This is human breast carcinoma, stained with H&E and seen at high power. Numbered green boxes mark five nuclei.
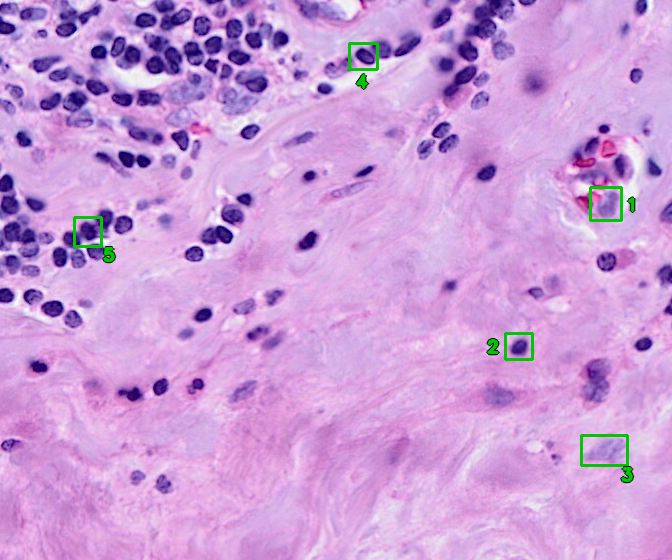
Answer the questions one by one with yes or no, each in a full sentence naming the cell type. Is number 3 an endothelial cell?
No, cell 3 represents a fibroblast rather than an endothelial cell.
